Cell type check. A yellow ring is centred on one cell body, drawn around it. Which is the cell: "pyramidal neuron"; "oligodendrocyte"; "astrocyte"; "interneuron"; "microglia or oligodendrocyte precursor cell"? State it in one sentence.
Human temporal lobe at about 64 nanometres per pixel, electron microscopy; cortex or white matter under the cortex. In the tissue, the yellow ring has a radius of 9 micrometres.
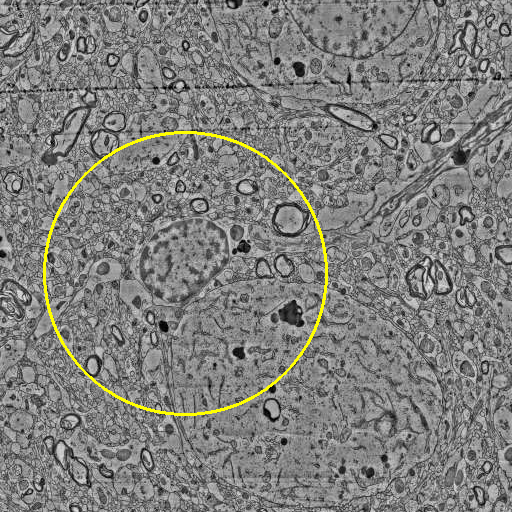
The cell body at the ring's centre belongs to a microglial cell or oligodendrocyte precursor cell.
